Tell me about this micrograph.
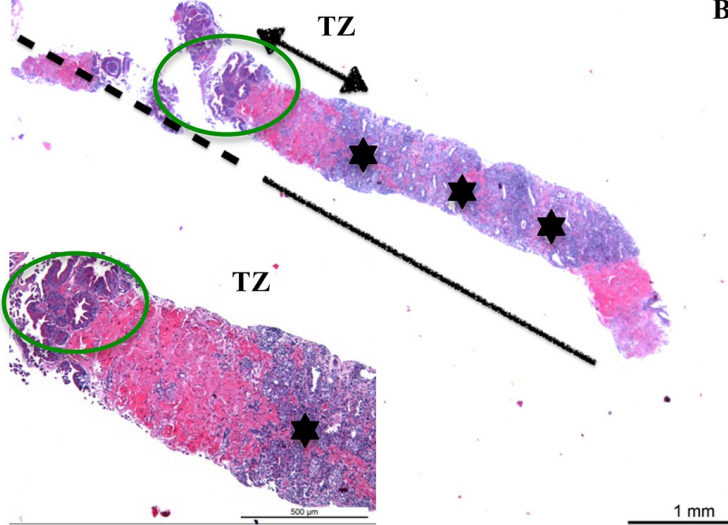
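This core of prostate tissue shows normal glands at one end only, with folded purple epithelium around open lumens. Next to them, with a sharp border, comes a broad pink eosinophilic zone without glands. Beyond it the core is made of dense purple sheets of crowded cells and further pink areas, the picture of inflammation and necrosis. The enlarged view shows the abrupt change from glands to the pink damaged band.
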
